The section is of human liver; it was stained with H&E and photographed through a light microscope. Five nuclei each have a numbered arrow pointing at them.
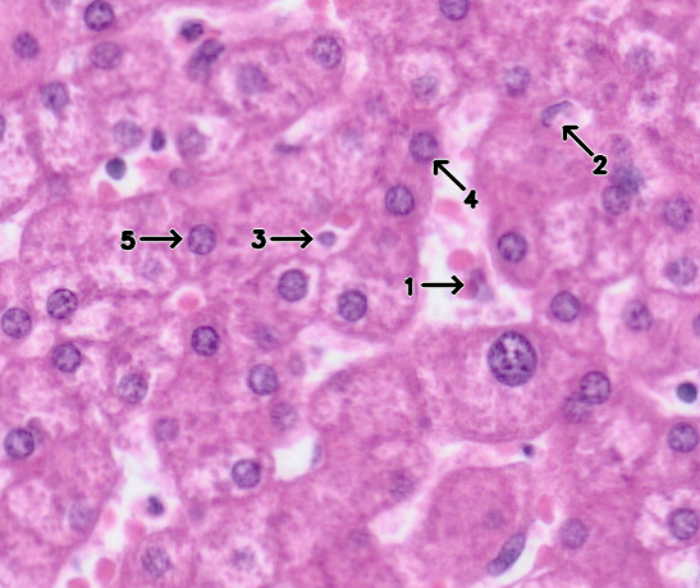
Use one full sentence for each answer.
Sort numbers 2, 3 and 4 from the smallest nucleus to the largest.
Smallest first, the nuclei run 3, 2, 4.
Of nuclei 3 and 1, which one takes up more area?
Nucleus 1 covers more area, about 2.5 times as much as nucleus 3.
